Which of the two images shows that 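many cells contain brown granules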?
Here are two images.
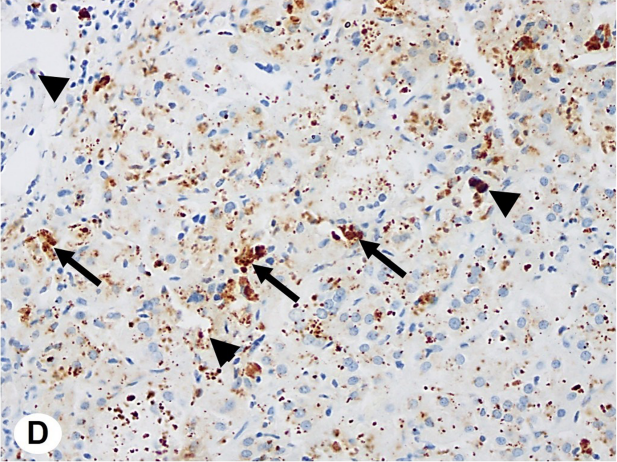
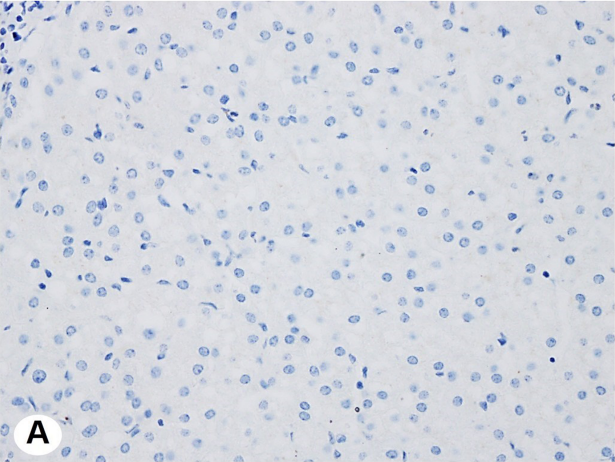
the first image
